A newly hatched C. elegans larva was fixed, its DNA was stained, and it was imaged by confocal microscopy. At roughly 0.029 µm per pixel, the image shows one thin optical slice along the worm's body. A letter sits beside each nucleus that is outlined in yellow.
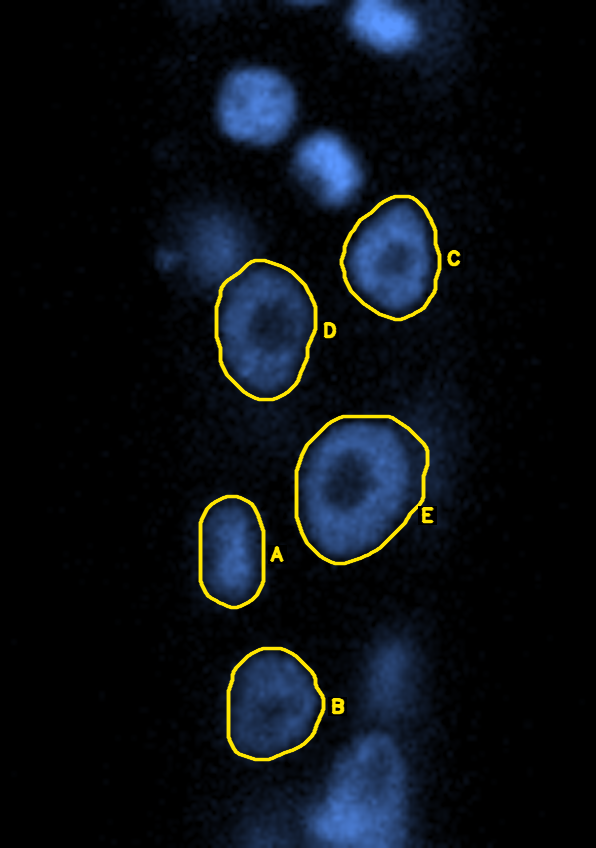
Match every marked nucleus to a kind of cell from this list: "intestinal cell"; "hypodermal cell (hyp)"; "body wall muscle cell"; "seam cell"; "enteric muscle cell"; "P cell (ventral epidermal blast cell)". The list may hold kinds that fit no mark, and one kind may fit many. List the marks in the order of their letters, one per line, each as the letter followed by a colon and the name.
A: body wall muscle cell
B: intestinal cell
C: P cell (ventral epidermal blast cell)
D: hypodermal cell (hyp)
E: seam cell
